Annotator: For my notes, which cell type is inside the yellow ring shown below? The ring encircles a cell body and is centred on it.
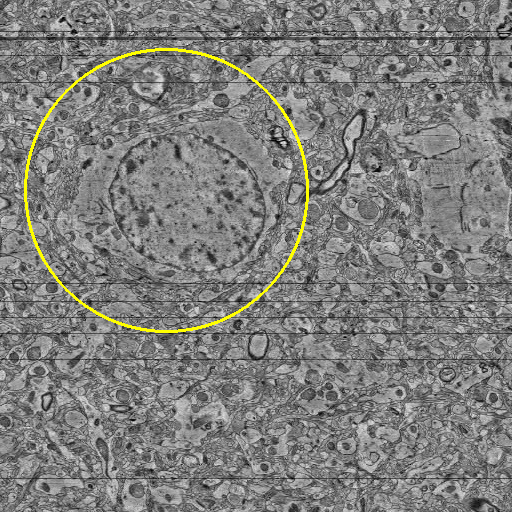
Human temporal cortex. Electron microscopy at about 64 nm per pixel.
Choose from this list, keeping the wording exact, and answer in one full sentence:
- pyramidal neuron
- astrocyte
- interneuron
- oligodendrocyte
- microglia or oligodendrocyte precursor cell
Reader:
At the centre of the yellow ring there is an astrocyte, as shown in the picture.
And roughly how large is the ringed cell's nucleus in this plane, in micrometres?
Approximately 10 x 9 micrometres in this plane.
